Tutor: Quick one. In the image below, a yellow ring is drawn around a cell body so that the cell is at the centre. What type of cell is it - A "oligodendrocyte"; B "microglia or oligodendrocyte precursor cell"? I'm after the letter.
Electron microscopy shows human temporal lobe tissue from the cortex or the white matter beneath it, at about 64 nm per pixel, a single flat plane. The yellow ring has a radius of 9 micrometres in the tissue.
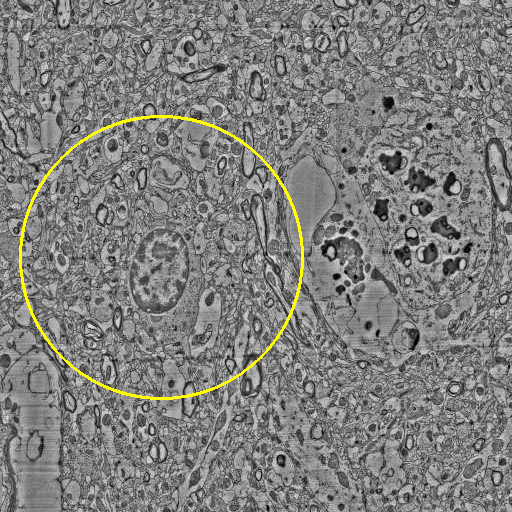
A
